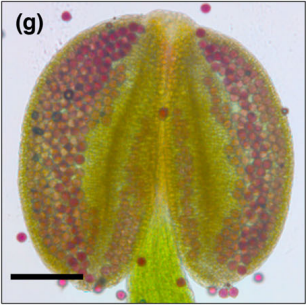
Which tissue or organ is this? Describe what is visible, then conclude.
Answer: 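A two-lobed, heart-shaped organ on a narrow green stalk. Each lobe is packed with round grains. Loose round grains lie around the margins. So: anthers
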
